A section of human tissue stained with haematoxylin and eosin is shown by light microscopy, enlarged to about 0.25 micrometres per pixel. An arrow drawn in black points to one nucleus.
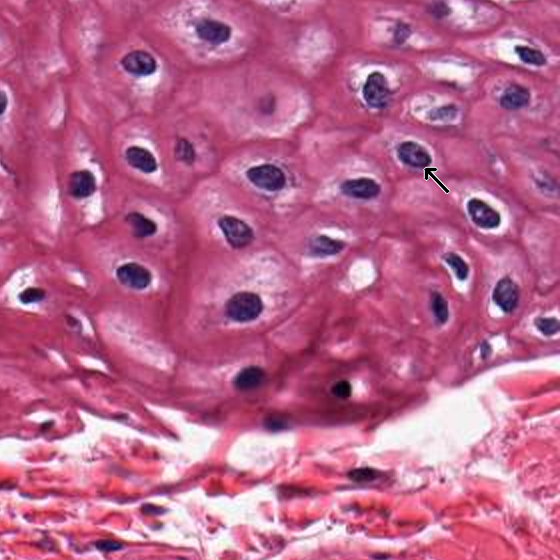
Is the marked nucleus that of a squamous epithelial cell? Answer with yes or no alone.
yes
